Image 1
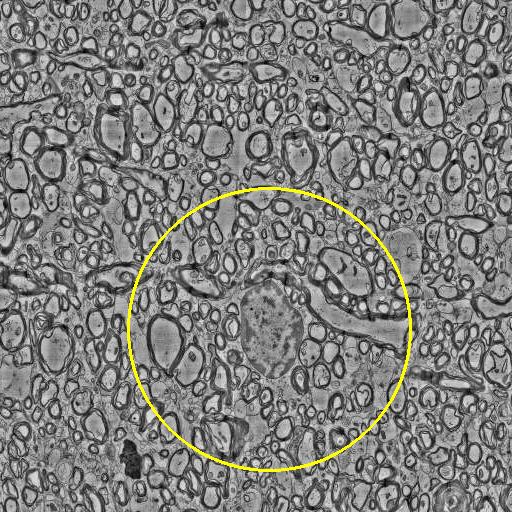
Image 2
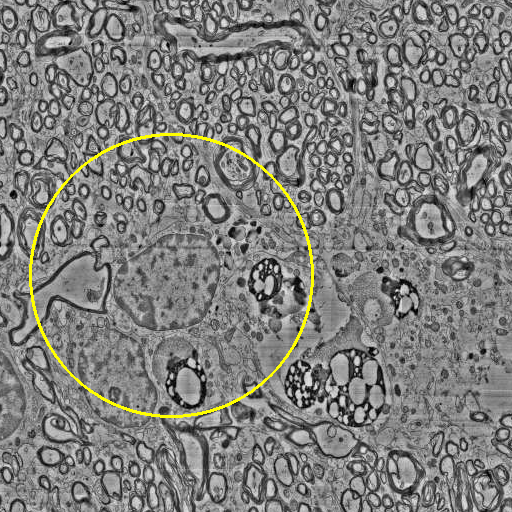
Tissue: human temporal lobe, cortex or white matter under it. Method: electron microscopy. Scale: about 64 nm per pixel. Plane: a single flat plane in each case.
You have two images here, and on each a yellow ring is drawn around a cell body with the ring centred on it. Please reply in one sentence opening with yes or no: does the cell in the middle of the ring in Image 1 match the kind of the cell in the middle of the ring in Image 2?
Yes, the two images show cells of one kind at the centres of their rings.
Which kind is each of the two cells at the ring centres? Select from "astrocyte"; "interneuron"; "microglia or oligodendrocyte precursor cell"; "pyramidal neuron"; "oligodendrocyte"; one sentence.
In each of the two pictures, the ringed cell is a microglial cell or oligodendrocyte precursor cell.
